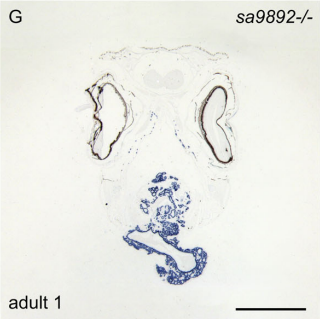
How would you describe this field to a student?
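This cross section through the head shows the two eyes above and, in the ventral midline below them, a large mass of thyroid follicular tissue stained dark blue. The follicles are many and irregular, some small rings and some large distended cavities, crowded together into a sprawling mass. The blue tissue spreads far downward and sideways rather than forming a small compact cluster, and the rest of the head tissue is pale and unstained.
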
